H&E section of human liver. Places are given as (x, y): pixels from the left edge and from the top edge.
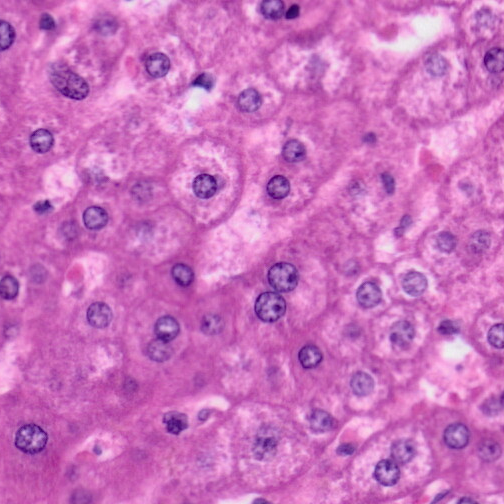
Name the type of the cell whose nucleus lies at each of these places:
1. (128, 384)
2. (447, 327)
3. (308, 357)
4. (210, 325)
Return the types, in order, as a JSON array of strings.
["hepatocyte", "endothelial cell", "hepatocyte", "hepatocyte"]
